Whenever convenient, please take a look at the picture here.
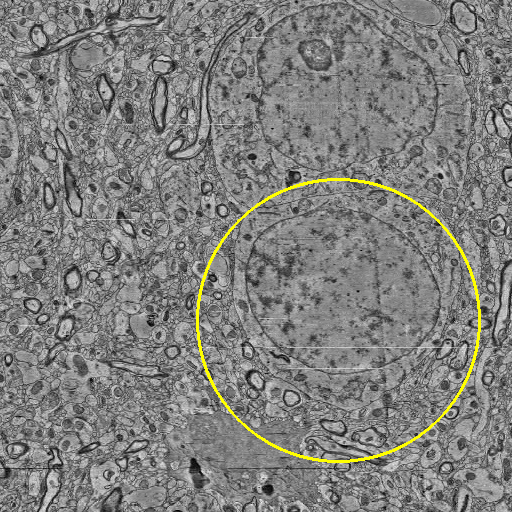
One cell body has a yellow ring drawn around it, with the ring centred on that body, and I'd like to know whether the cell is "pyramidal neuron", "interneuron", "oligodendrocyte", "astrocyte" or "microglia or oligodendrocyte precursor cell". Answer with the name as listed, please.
pyramidal neuron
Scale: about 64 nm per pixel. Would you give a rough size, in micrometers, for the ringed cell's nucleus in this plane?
The nucleus comes to roughly 13 by 11 micrometres in this plane.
